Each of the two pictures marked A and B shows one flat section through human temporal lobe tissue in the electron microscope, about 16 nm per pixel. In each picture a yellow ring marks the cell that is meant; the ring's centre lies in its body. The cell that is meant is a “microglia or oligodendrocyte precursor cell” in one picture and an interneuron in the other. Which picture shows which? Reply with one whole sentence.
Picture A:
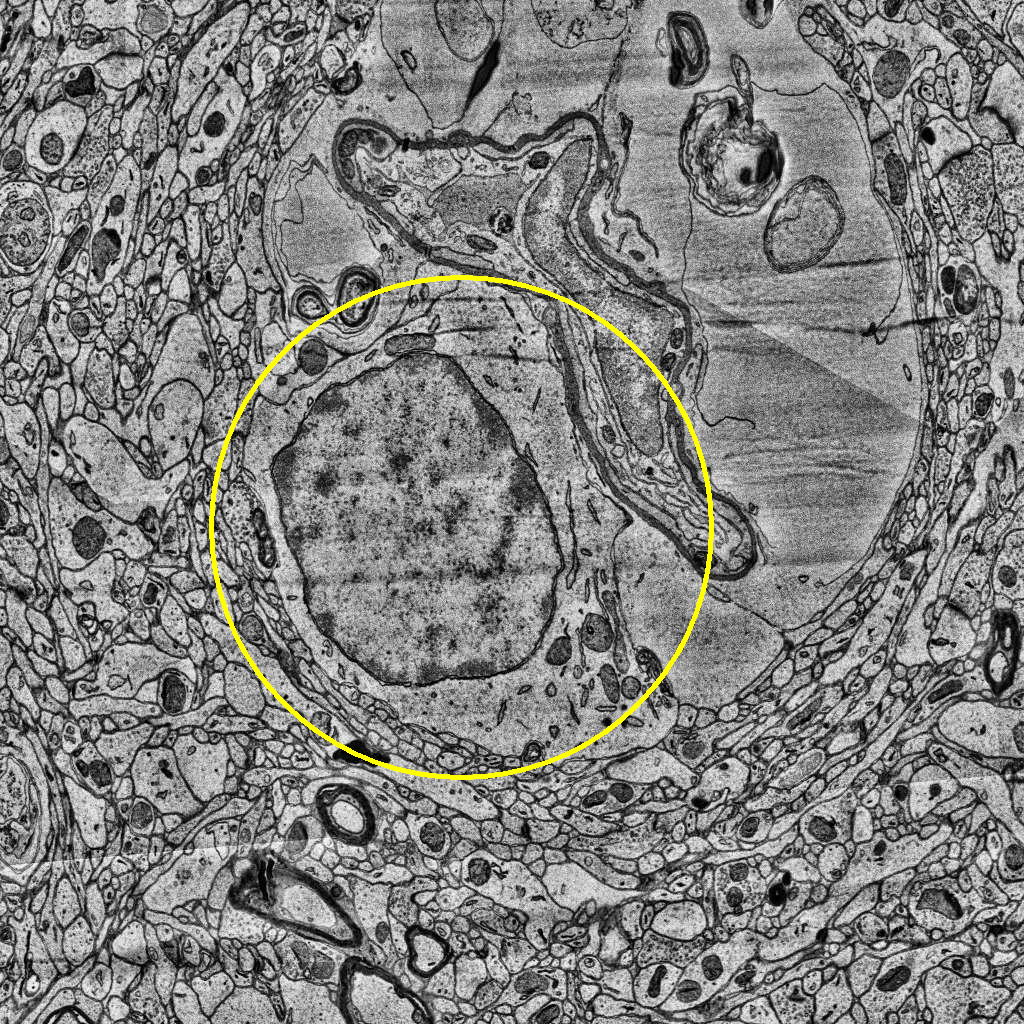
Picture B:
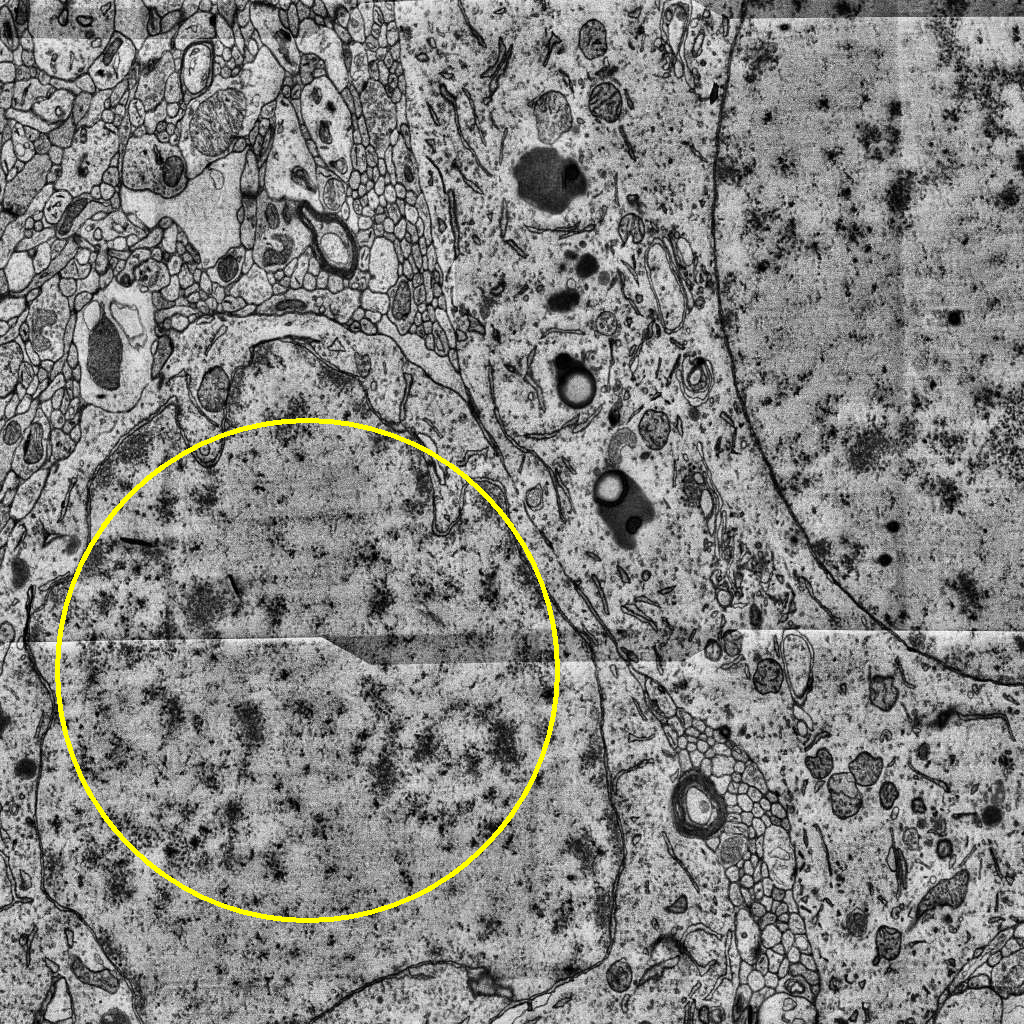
Picture A is of a “microglia or oligodendrocyte precursor cell”, and picture B is of an interneuron.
